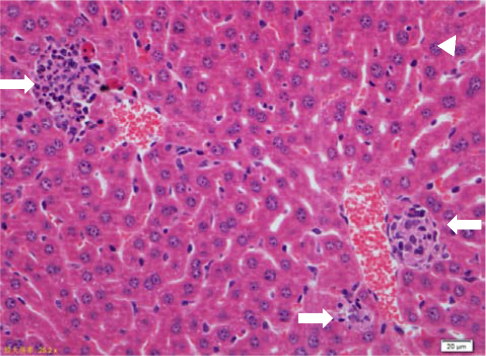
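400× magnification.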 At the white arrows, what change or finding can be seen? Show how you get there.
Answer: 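Dense clusters of small dark-nucleated cells lie among the hepatocyte plates. The clusters sit next to vessels filled with red blood cells. One cluster is a compact nodule of paler, larger cells.
Hence: granuloma and lymphocytic infiltration.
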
